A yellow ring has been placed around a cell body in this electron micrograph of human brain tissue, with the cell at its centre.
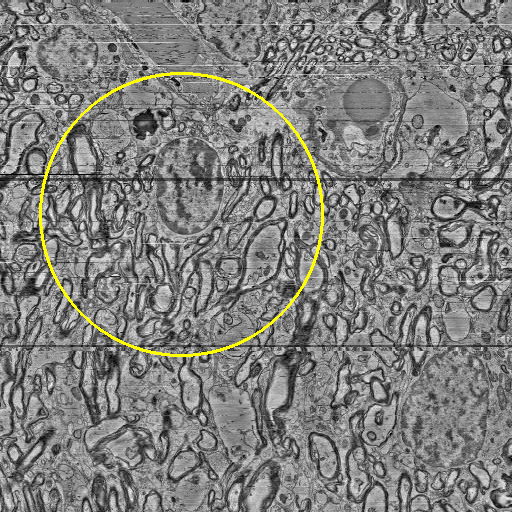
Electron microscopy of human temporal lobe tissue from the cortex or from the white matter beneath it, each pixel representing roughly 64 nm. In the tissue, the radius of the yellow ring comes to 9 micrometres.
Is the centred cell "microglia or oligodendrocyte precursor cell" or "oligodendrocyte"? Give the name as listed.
microglia or oligodendrocyte precursor cell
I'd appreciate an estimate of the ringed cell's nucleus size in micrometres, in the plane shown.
The nucleus measures about 6 by 4 micrometres in this plane.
